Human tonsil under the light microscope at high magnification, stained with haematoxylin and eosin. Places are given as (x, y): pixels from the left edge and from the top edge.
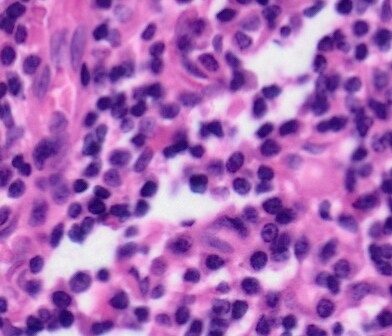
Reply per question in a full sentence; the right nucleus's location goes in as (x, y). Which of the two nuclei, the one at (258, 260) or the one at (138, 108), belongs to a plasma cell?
The nucleus of the pair that lies within a plasma cell is at (258, 260).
